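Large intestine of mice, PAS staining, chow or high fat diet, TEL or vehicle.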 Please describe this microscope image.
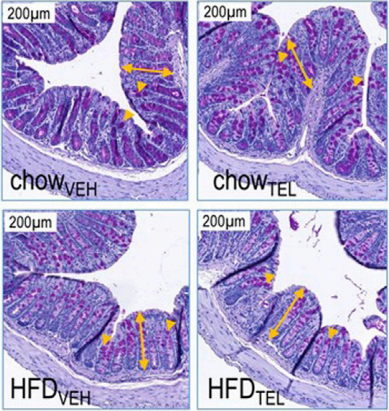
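The mucosa is made of straight tubular crypts that sit side by side and open onto the lumen, which is the white space at the top. Purple-blue epithelial cells line each crypt. Scattered among them are goblet cells, whose mucus-filled cytoplasm stains bright magenta. These magenta cells are numerous along the length of the crypts. Below the bases of the crypts lies a thin, paler band of connective tissue and smooth muscle that forms the outer wall. The crypt depth can be read as the distance from the surface down to the crypt base.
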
